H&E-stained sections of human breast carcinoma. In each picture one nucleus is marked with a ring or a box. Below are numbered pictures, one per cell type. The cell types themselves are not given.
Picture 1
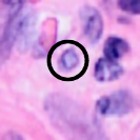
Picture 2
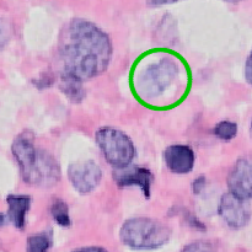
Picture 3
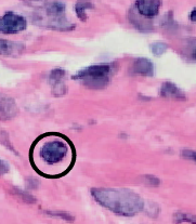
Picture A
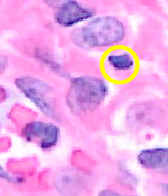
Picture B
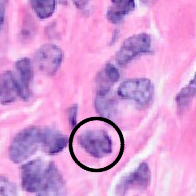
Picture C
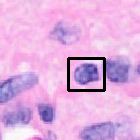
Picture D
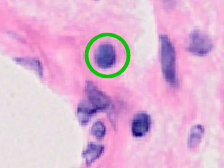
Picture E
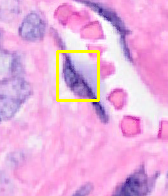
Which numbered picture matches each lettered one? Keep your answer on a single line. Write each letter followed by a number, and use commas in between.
A 3, B 2, C 3, D 3, E 1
